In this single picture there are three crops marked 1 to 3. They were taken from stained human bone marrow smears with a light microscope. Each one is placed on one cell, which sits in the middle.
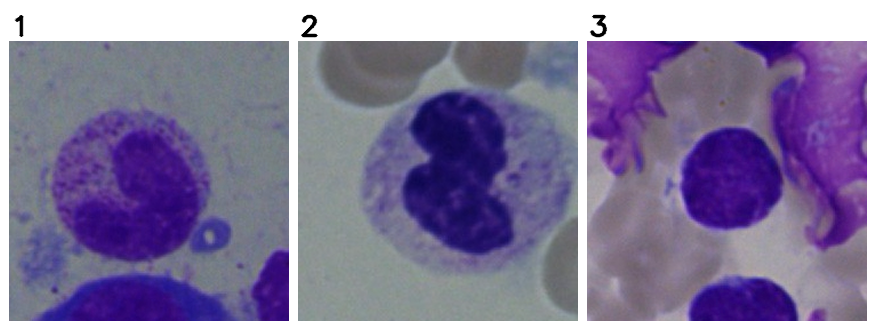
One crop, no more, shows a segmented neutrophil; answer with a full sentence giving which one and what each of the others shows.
Crop 2 goes down as a segmented neutrophil, while crop 1 is a band neutrophil and crop 3 is a lymphocyte.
